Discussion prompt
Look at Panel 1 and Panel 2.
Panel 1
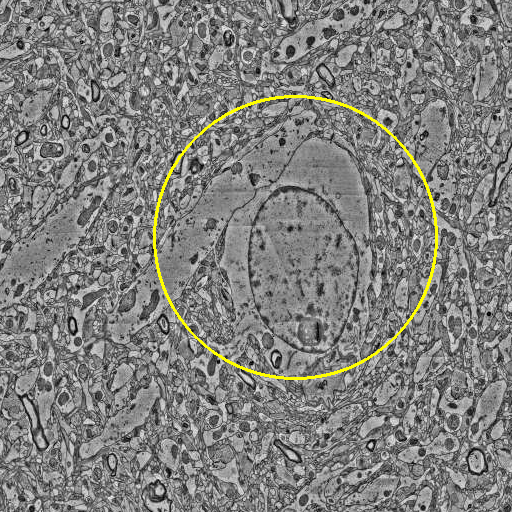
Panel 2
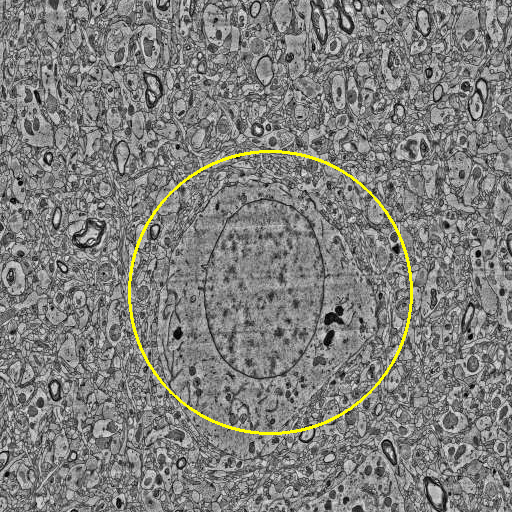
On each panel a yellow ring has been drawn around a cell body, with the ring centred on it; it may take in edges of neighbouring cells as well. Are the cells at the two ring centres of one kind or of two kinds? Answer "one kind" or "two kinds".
two kinds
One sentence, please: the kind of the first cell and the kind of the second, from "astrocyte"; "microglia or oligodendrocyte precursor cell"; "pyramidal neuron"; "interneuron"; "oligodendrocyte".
The ring in the first picture surrounds an astrocyte, and the ring in the second surrounds a pyramidal neuron.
